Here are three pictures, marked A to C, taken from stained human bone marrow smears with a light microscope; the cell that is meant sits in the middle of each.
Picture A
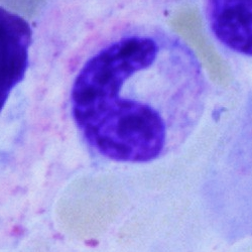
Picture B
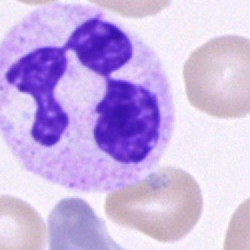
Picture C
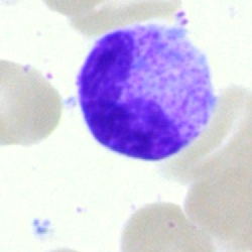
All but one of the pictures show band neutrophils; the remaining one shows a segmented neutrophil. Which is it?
B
